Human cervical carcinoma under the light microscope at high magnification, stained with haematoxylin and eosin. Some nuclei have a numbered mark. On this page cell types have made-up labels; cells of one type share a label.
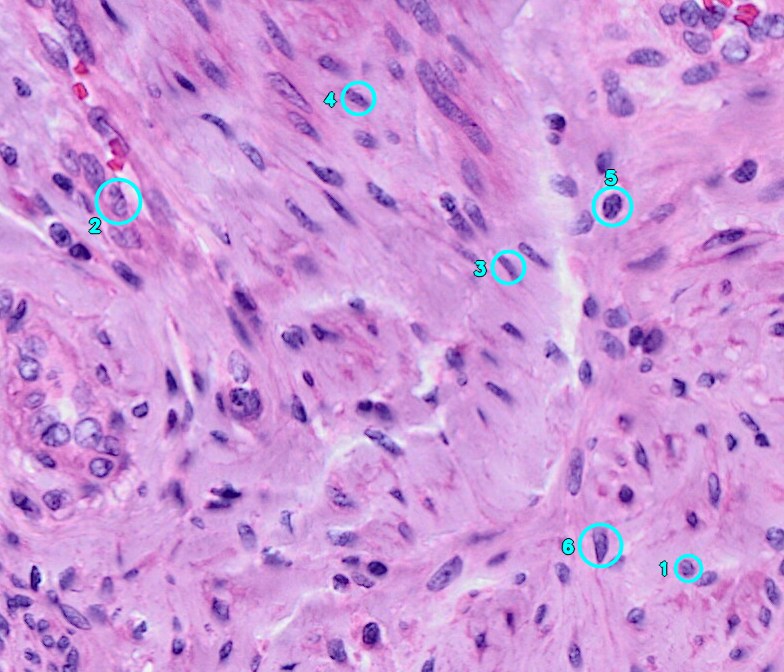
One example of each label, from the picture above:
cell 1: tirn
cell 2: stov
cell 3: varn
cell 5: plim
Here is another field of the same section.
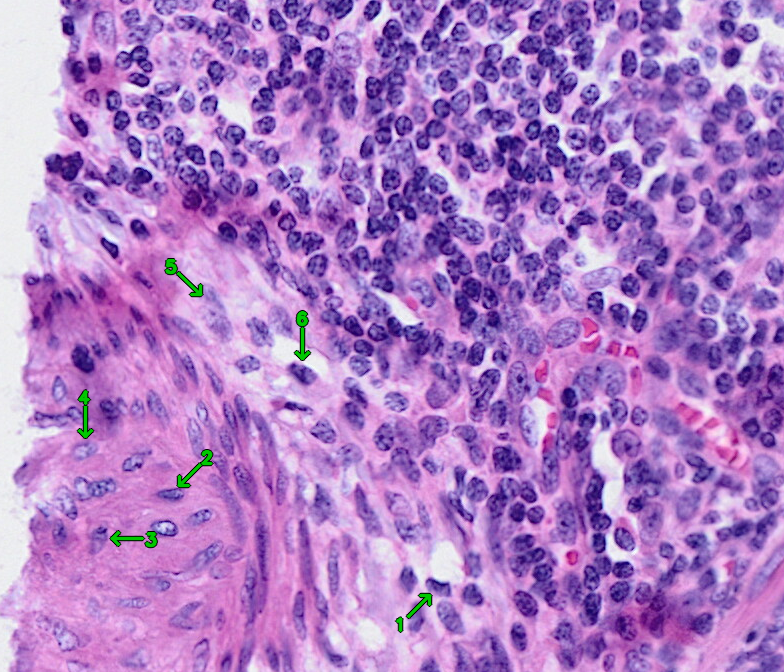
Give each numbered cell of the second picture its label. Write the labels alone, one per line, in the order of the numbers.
plim
tirn
tirn
tirn
varn
plim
